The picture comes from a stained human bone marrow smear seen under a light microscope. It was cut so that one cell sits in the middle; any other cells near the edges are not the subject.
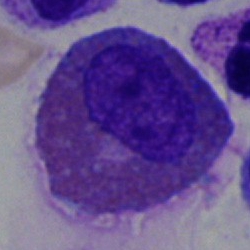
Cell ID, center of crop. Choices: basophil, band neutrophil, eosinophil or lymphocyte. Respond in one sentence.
As for the central cell, it is an eosinophil.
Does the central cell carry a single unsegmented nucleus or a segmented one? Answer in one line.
What stands out is a nucleus forming one compact round, oval or kidney-shaped mass.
